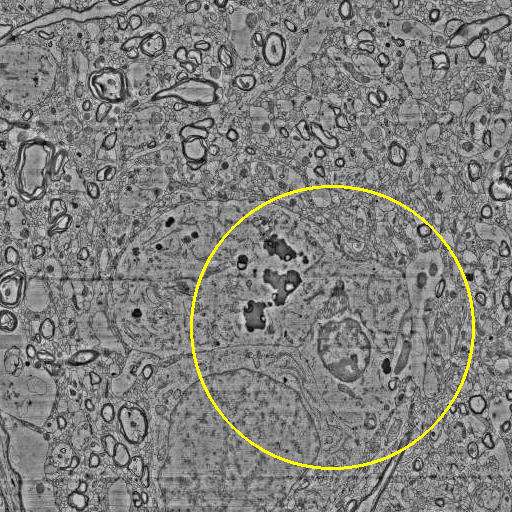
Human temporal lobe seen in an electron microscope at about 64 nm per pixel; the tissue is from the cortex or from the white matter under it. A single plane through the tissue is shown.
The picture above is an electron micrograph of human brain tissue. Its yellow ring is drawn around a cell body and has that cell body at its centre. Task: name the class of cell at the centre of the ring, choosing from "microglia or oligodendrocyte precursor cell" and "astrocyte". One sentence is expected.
The ring surrounds the body of a microglial cell or oligodendrocyte precursor cell.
